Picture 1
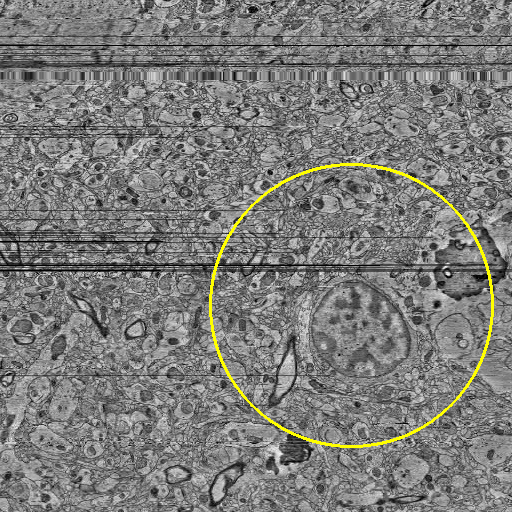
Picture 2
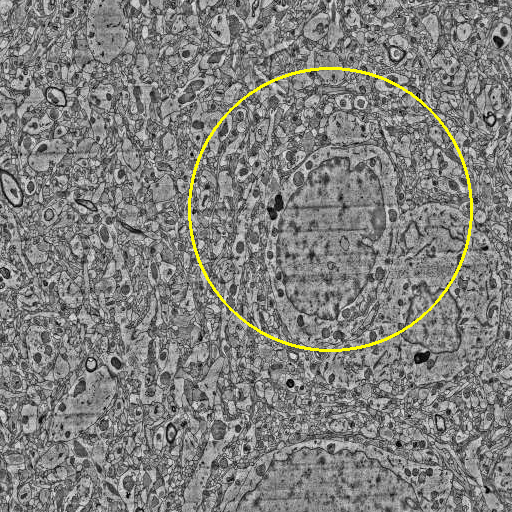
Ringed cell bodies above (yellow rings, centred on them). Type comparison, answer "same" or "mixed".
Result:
mixed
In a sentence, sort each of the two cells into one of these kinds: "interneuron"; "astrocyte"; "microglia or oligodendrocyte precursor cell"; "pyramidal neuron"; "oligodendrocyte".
The first of the two cells is an oligodendrocyte, and the second is an interneuron.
